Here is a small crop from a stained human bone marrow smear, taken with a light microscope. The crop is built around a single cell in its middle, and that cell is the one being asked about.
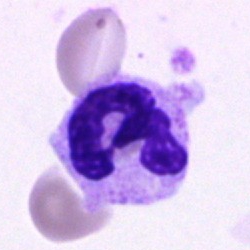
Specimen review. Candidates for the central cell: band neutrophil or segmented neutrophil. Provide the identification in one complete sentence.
The cell centred in this crop is categorized as a segmented neutrophil.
